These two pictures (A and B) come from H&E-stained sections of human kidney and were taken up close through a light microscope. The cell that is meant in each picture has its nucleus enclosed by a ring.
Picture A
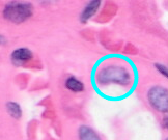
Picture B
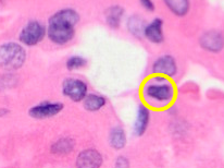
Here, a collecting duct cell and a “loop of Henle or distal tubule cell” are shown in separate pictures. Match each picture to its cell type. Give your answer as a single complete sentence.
Picture B shows a collecting duct cell, while picture A shows a “loop of Henle or distal tubule cell”.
